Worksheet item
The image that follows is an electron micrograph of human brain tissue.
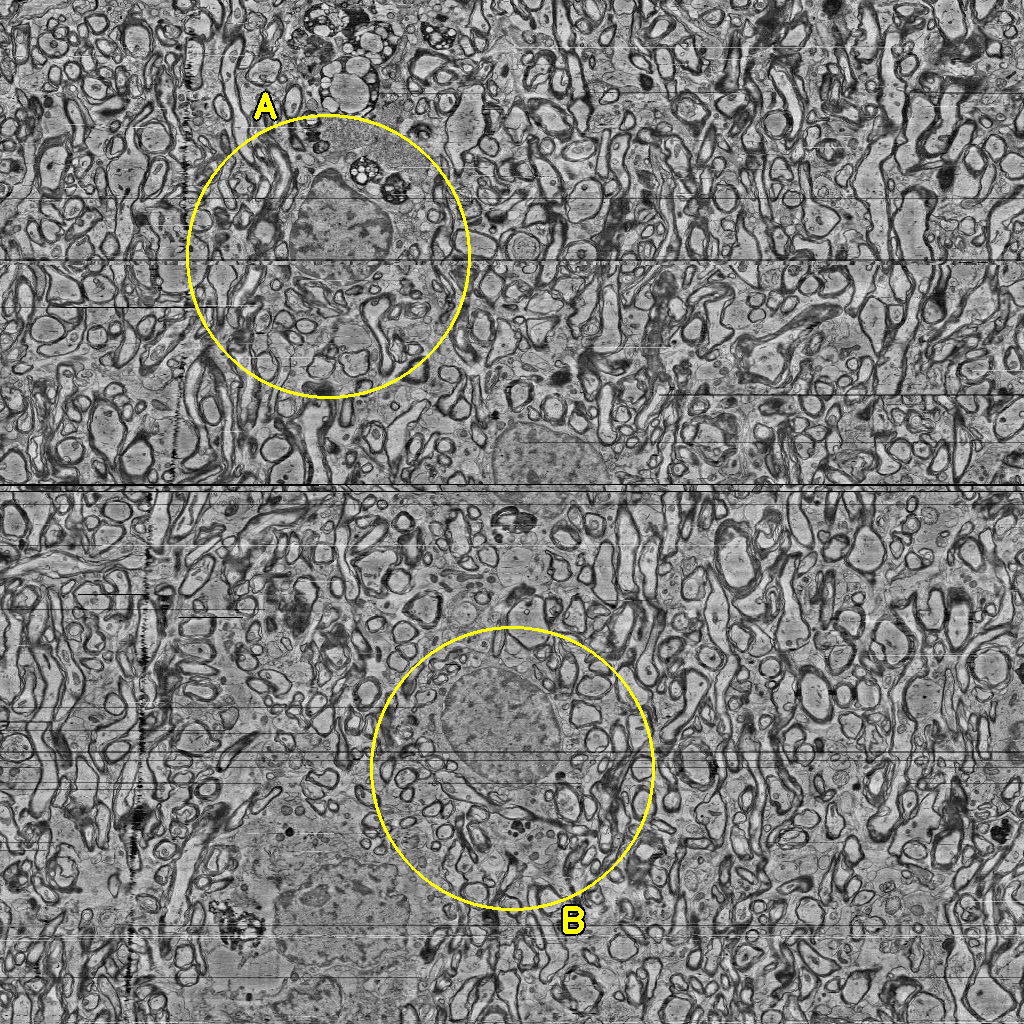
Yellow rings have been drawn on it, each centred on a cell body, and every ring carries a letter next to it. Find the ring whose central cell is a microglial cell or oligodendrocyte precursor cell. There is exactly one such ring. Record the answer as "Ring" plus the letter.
Ring A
